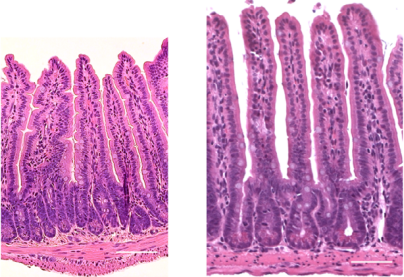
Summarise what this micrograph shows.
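At the base the crypts open between the villi and rest on a pink band of smooth muscle. In the right image the villi appear longer and the crypts deeper than in the left image.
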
